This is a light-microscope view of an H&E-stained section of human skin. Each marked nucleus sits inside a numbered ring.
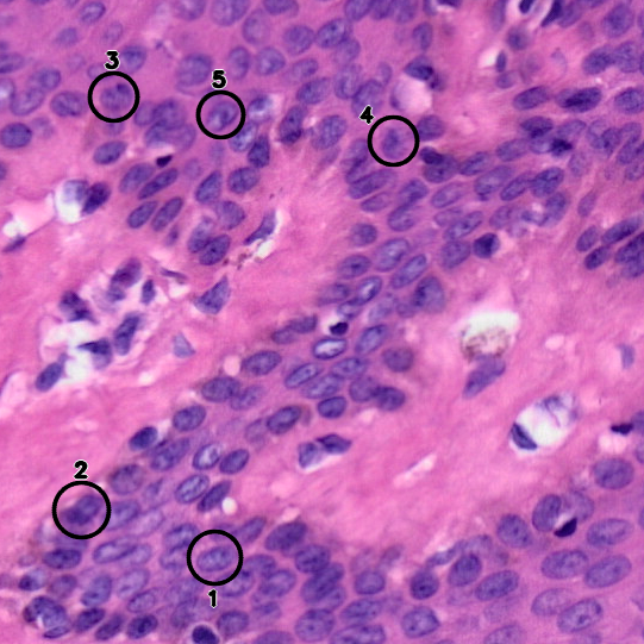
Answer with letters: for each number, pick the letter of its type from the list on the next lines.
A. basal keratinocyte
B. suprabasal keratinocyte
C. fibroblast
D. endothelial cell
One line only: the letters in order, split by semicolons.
B; A; B; A; B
